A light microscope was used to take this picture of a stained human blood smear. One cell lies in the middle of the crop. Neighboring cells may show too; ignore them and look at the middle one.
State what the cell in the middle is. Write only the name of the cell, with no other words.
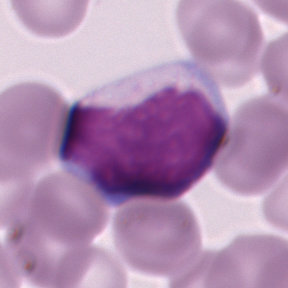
large granular lymphocyte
